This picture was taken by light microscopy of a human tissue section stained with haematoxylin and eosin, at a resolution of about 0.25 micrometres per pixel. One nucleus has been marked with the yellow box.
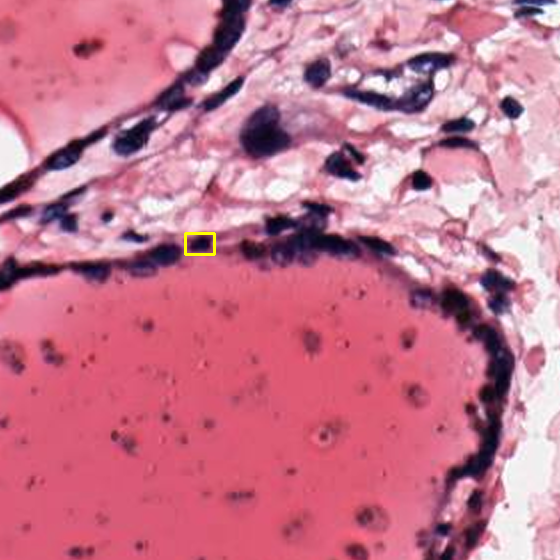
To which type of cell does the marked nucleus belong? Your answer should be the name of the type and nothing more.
thyroid follicular cell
